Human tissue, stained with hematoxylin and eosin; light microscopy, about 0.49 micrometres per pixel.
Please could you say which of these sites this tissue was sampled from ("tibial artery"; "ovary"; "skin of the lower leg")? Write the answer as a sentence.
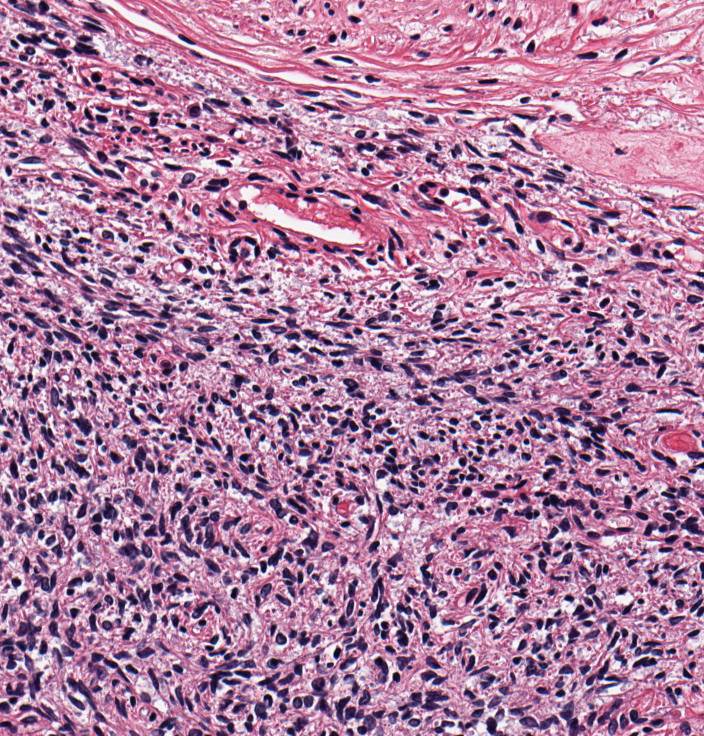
The site this tissue was sampled from is the ovary.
